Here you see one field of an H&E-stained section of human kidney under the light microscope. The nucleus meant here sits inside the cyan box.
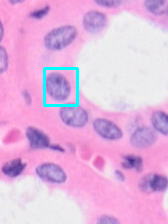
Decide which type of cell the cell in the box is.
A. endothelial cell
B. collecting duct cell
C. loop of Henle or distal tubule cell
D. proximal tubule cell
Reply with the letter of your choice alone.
B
